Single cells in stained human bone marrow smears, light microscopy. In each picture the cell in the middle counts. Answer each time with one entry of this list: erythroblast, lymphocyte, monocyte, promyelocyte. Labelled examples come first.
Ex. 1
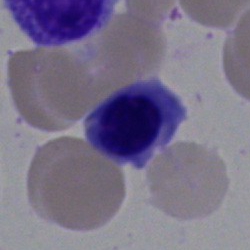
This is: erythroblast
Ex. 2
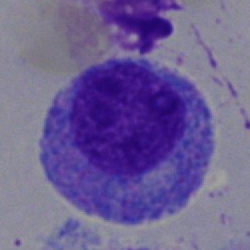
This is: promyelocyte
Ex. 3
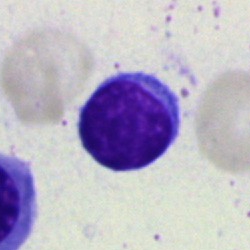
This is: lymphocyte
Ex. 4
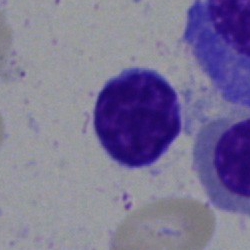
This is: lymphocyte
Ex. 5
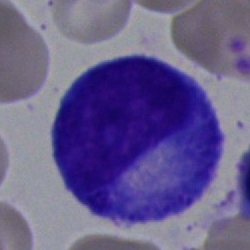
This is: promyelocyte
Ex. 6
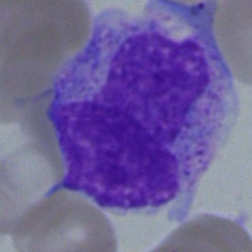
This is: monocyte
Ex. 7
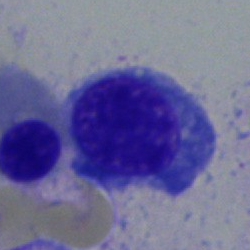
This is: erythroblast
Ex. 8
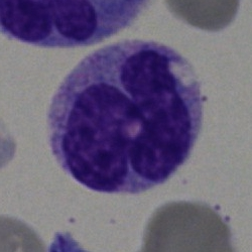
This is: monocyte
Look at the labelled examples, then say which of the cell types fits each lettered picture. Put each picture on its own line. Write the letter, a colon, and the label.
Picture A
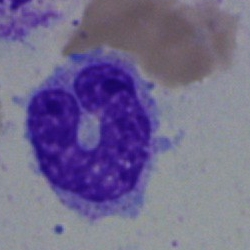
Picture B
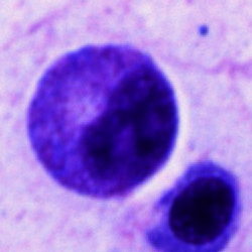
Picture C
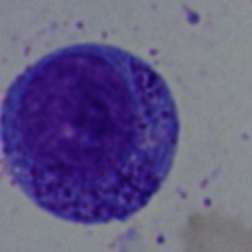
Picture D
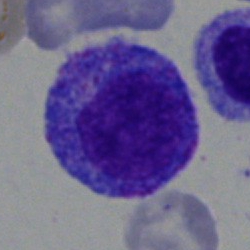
A: monocyte
B: promyelocyte
C: promyelocyte
D: promyelocyte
